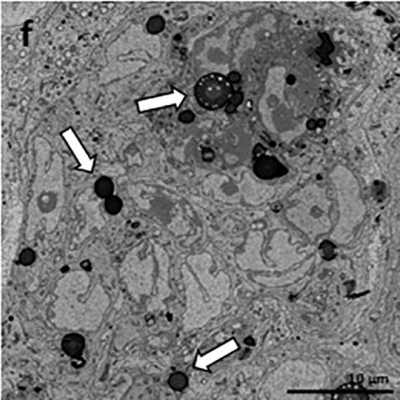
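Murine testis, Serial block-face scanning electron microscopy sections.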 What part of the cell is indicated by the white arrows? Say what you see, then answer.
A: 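The arrows point to round, very electron-dense black bodies. The bodies lie in the cytoplasm between pale cell profiles.
Conclusion: Lipid droplets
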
